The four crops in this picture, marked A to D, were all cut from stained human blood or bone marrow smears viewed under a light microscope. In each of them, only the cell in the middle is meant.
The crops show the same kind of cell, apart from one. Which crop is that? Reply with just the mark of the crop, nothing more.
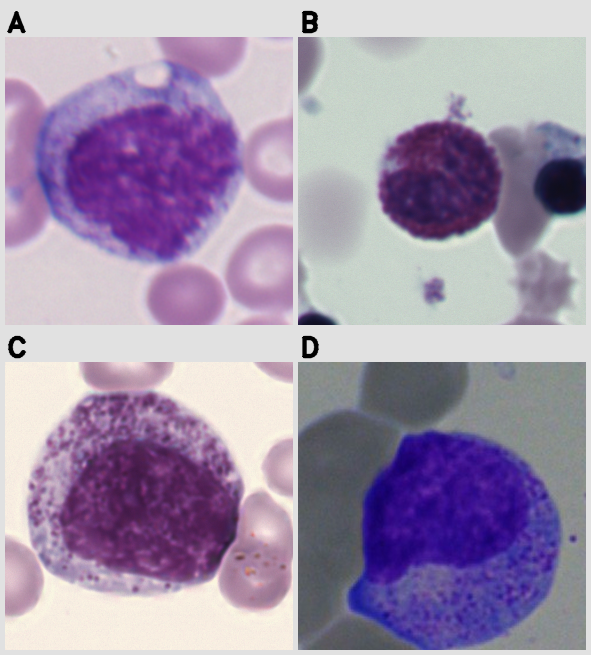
B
